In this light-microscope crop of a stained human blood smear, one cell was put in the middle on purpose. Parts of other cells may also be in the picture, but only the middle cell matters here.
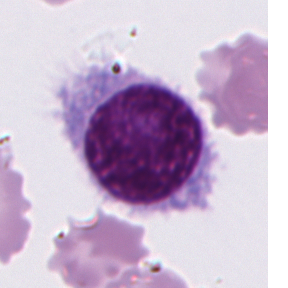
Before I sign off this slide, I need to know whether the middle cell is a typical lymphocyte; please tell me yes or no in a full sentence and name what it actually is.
No, what is seen at the centre is a hairy cell instead of a typical lymphocyte.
